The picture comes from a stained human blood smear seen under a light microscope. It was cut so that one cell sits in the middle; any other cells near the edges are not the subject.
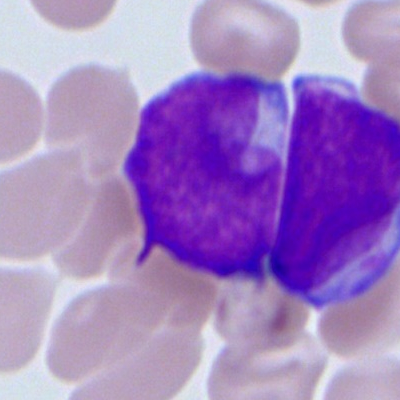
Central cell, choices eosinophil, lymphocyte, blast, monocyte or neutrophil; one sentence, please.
The cell featured at the centre of this crop is a blast.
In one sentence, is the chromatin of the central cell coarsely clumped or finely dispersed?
The key point is fine chromatin with no coarse clumps.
